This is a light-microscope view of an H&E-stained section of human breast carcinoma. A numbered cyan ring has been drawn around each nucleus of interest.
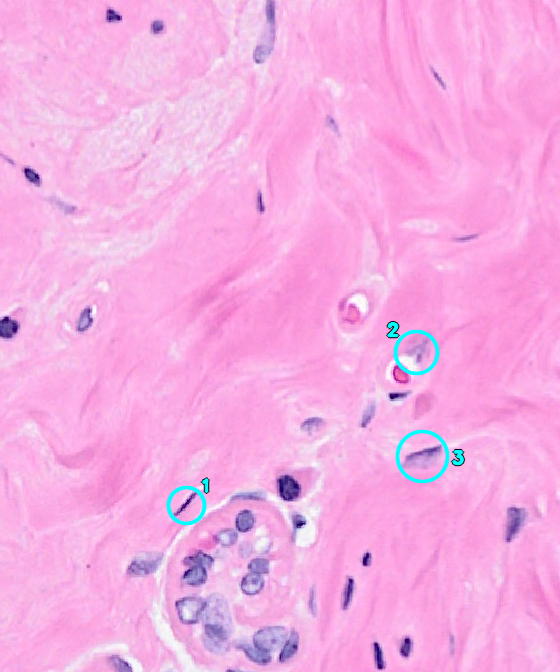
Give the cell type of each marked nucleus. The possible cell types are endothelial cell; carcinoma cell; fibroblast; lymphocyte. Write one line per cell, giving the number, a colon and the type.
1: fibroblast
2: endothelial cell
3: fibroblast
